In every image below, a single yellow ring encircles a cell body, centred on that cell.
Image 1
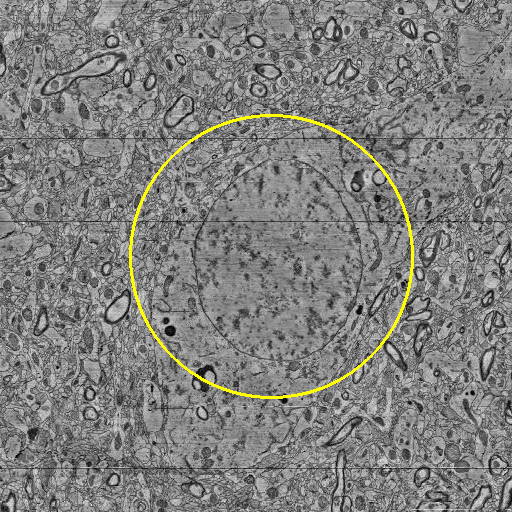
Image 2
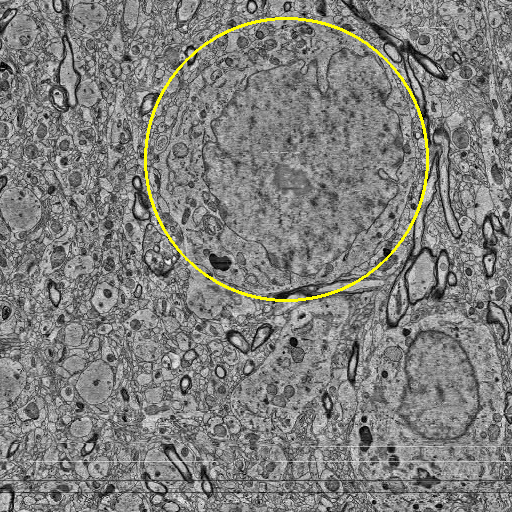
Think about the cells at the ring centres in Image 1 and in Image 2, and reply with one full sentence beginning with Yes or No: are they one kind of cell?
No, the cells centred in the rings of Image 1 and Image 2 are two kinds of cell.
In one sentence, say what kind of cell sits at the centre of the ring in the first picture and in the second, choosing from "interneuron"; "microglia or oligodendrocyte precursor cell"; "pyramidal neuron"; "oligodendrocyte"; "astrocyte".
The first picture's ringed cell is a pyramidal neuron, while the second picture's is an interneuron.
